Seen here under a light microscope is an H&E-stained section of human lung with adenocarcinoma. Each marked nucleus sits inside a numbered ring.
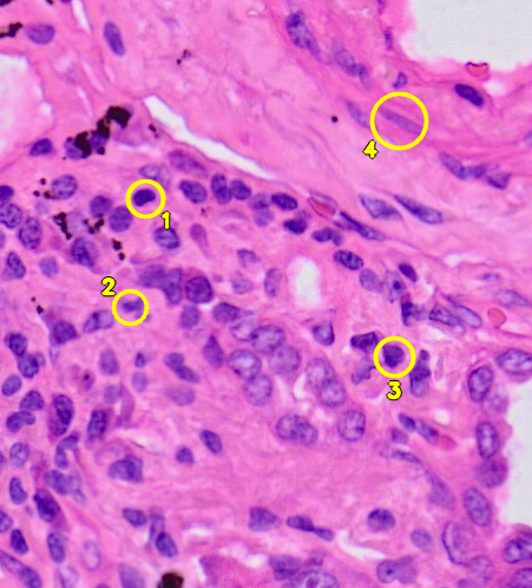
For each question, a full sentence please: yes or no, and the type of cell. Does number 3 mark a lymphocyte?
Yes, the cell to which number 3 refers is a lymphocyte.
